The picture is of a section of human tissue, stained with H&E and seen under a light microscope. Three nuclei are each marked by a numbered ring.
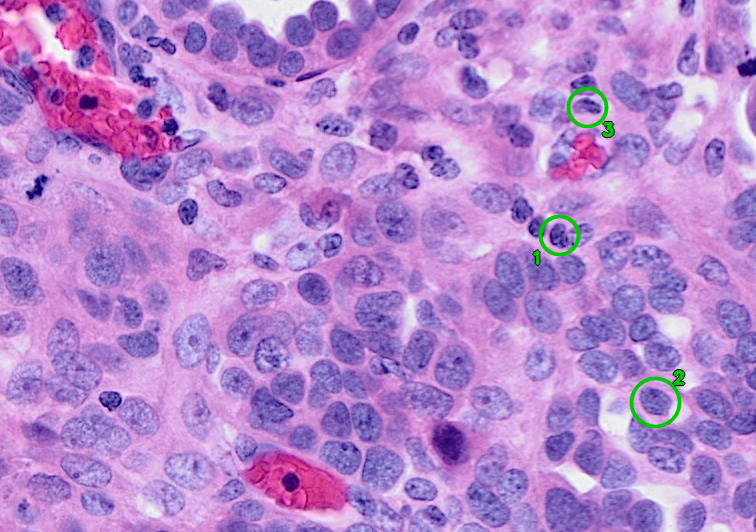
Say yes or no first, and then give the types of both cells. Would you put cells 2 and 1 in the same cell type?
No, cell 2 is a carcinoma cell, but cell 1 is a lymphocyte.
